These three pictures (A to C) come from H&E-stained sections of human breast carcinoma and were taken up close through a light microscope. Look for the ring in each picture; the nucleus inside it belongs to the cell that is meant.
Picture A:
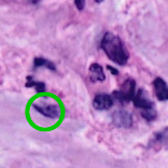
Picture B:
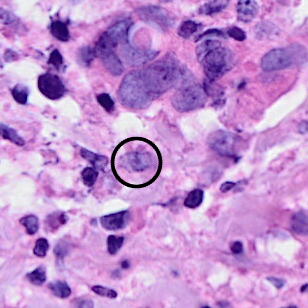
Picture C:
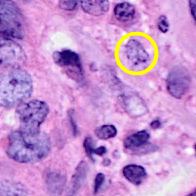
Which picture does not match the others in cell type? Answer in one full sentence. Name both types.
The different one is picture A; it shows a fibroblast, whereas all the others show “macrophages, monocytes or dendritic cells”.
